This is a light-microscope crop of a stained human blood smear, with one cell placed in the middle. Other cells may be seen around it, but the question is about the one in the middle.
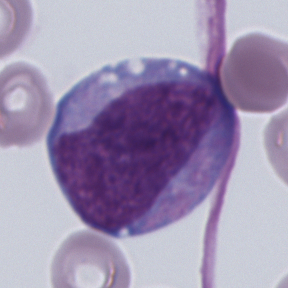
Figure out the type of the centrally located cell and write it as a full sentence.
Standing at the centre of this crop is an atypical promyelocyte.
